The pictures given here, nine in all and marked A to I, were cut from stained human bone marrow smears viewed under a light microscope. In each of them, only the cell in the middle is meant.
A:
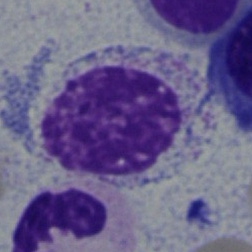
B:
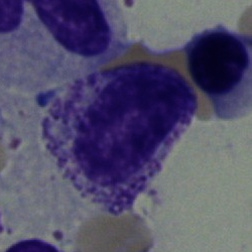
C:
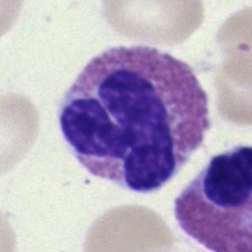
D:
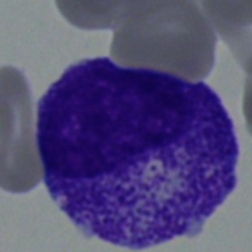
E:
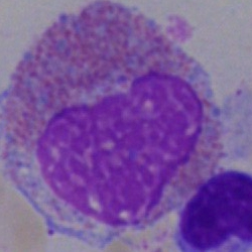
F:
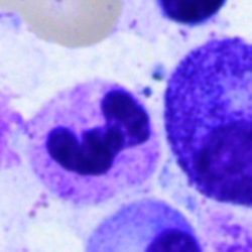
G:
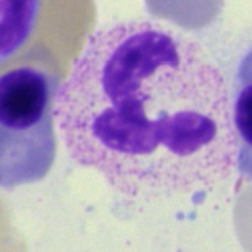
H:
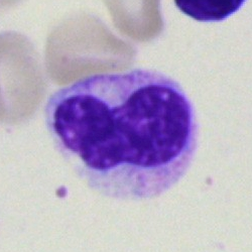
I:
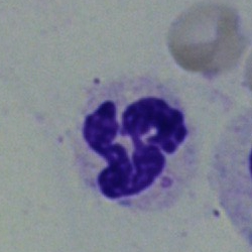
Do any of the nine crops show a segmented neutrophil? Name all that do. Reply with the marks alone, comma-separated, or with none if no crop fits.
F, G, I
